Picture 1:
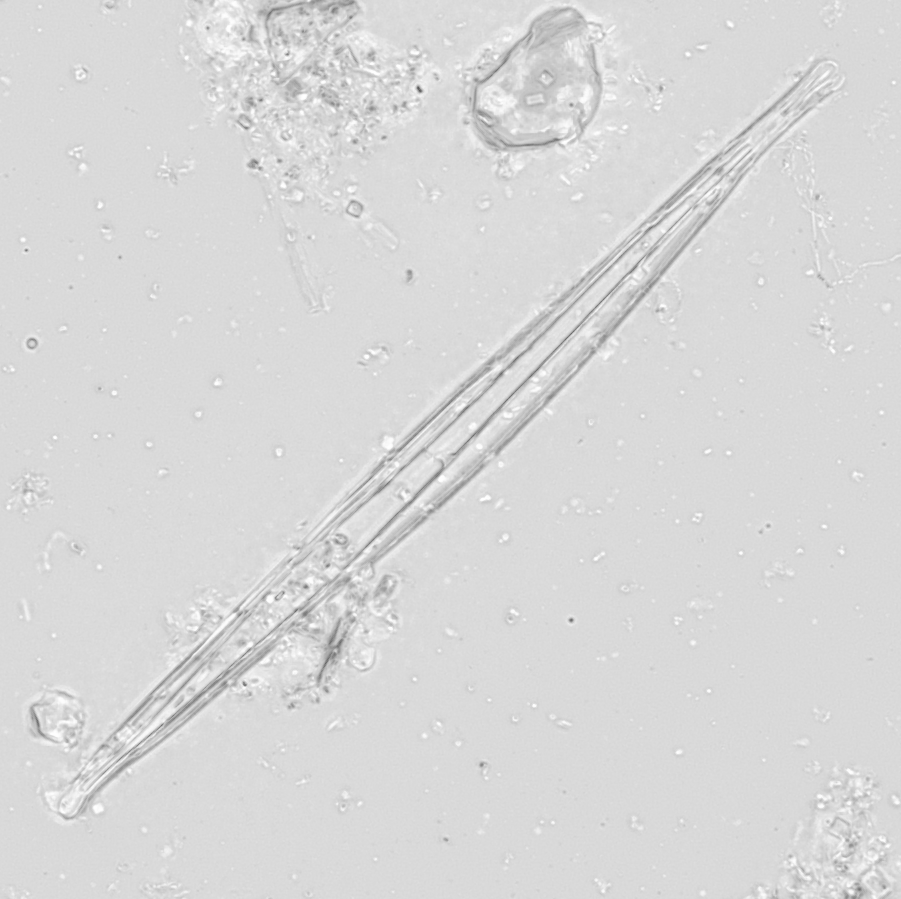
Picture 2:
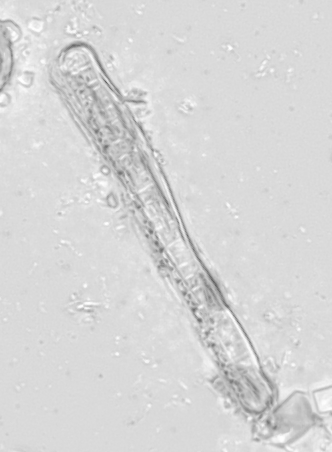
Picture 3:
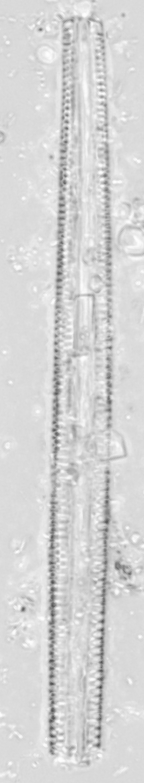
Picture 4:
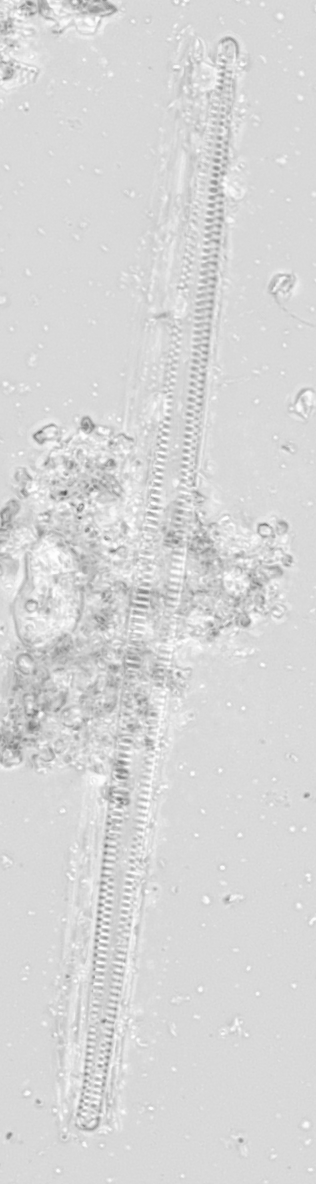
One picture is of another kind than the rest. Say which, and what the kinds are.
Picture 2 shows Diatoma; the rest show Tabularia.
